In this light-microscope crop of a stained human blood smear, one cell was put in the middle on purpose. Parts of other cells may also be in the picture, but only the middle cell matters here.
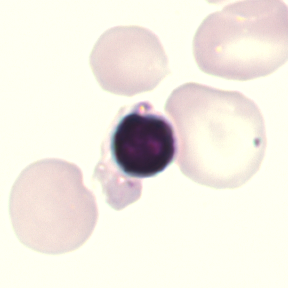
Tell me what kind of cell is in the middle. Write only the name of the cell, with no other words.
normoblast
